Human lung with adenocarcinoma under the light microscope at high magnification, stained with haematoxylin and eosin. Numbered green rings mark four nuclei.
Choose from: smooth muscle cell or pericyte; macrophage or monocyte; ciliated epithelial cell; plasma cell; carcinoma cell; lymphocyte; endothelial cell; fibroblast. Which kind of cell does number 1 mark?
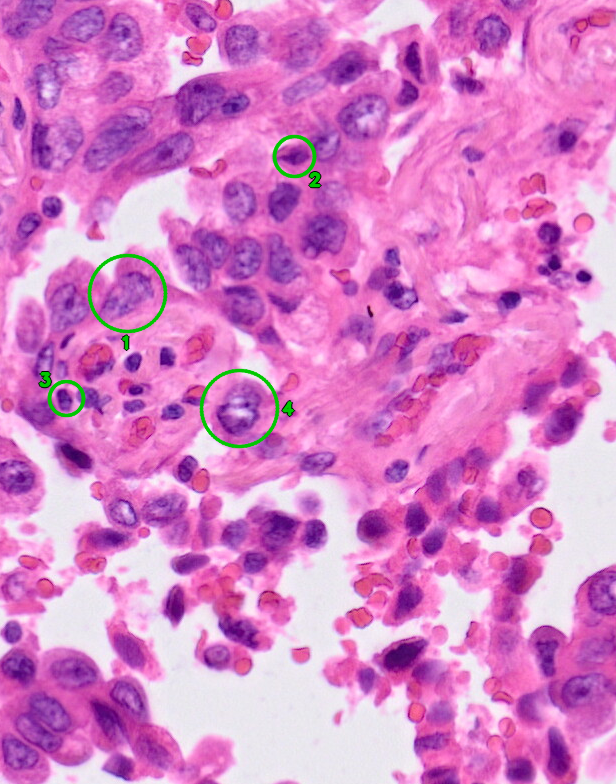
carcinoma cell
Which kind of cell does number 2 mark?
carcinoma cell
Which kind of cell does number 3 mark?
lymphocyte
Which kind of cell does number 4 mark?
carcinoma cell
